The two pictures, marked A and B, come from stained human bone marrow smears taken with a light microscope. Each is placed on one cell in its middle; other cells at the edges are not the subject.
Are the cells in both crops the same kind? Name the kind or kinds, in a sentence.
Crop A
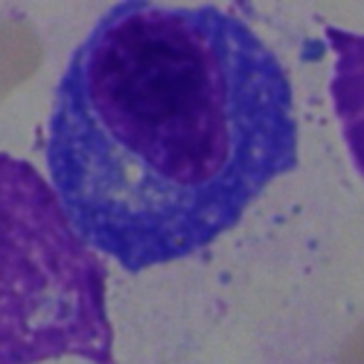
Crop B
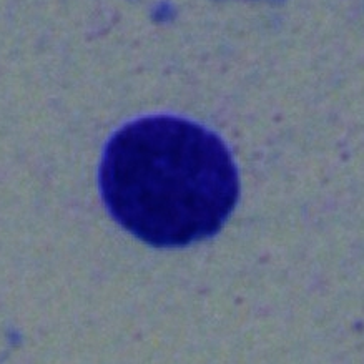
No, it is a plasma cell that crop A shows, and a lymphocyte that crop B shows.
